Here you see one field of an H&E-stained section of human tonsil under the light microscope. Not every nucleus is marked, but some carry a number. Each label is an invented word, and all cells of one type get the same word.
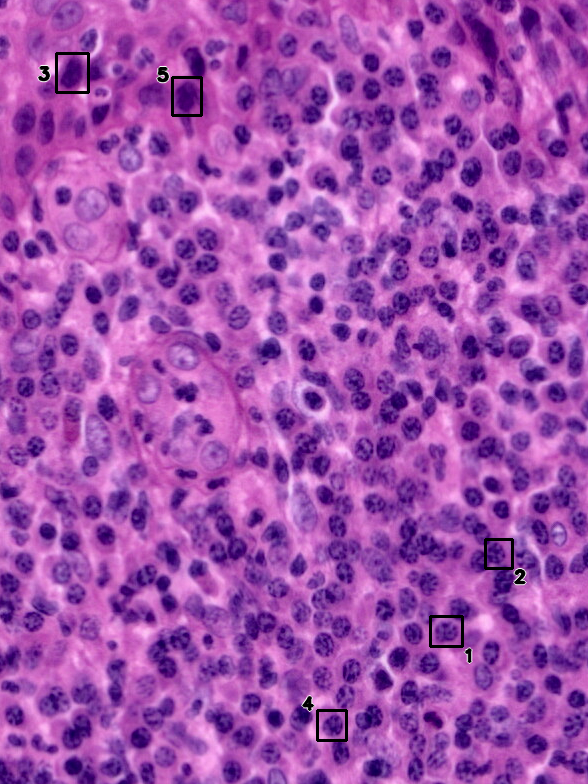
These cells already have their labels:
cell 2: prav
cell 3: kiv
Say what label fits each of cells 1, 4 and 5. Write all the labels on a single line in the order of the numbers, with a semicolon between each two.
prav; prav; kiv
